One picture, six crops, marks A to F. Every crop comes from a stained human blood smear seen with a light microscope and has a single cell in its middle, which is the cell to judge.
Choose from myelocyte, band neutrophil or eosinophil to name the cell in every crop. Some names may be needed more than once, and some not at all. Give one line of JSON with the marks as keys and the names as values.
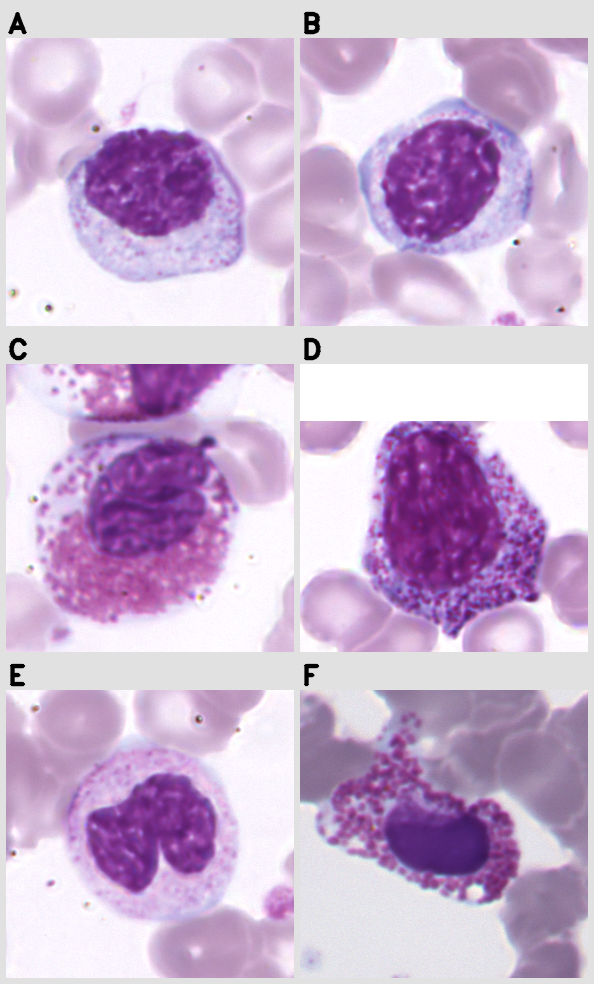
{"A": "myelocyte", "B": "myelocyte", "C": "eosinophil", "D": "myelocyte", "E": "band neutrophil", "F": "eosinophil"}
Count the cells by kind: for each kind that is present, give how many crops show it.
myelocyte: 3
eosinophil: 2
band neutrophil: 1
